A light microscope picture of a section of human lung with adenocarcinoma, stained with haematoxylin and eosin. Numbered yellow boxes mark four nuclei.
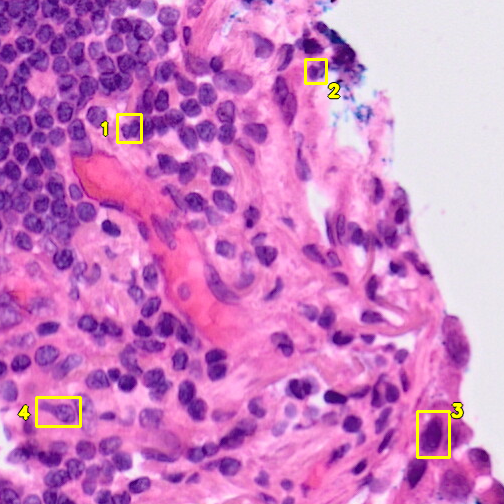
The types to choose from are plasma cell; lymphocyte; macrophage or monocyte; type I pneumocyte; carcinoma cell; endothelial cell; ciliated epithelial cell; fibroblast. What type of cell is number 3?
carcinoma cell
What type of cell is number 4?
lymphocyte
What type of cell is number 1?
lymphocyte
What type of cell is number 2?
lymphocyte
